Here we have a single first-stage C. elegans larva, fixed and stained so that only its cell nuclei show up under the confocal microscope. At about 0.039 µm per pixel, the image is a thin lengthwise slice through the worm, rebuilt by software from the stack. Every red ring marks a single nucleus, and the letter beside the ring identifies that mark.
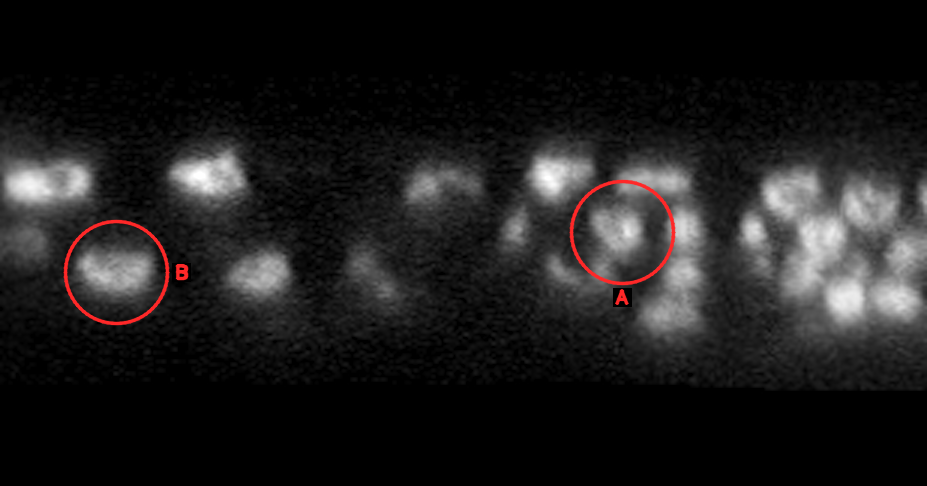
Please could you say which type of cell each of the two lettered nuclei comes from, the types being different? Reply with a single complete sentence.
A is in a pharyngeal muscle cell and B is in a body wall muscle cell.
